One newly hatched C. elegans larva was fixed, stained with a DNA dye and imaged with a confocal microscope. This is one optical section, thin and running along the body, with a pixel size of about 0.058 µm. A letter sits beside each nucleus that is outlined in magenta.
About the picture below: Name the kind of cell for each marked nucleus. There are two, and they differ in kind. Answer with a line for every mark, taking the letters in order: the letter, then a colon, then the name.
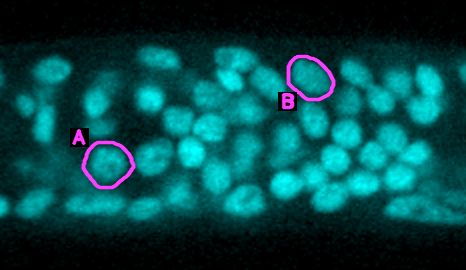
A: pharyngeal muscle cell
B: neuron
